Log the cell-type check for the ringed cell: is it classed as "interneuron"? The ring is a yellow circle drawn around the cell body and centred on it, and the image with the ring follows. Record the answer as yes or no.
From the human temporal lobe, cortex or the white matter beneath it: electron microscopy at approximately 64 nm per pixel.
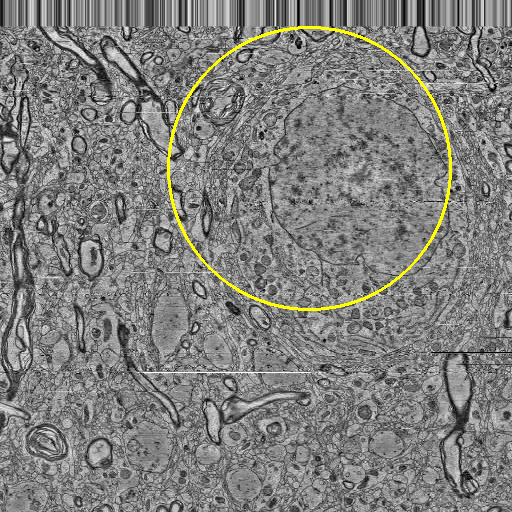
Yes, it is classed that way.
